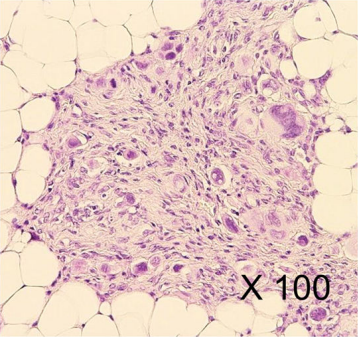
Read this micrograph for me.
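This is a nodule of cancer cells set in fibrous stroma, surrounded on all sides by large empty fat cells. The tumour cells lie singly and in small loose groups among spindle-shaped stromal cells with thin dark nuclei. Many tumour cells are large and rounded with pale, bubbly or clear cytoplasm holding mucin. In some of them the nucleus is pressed to one side, giving the look of a signet ring. A few cells have larger, darker and irregular nuclei.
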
